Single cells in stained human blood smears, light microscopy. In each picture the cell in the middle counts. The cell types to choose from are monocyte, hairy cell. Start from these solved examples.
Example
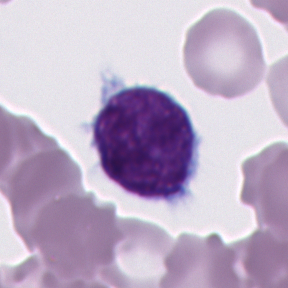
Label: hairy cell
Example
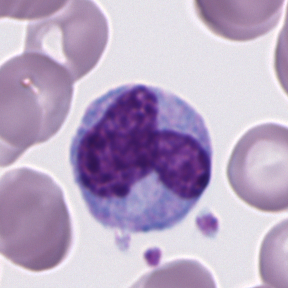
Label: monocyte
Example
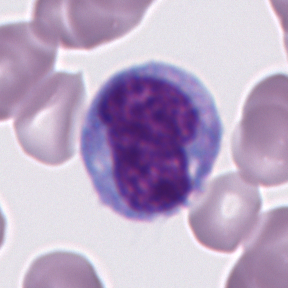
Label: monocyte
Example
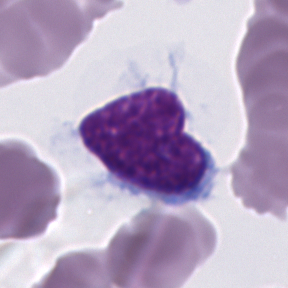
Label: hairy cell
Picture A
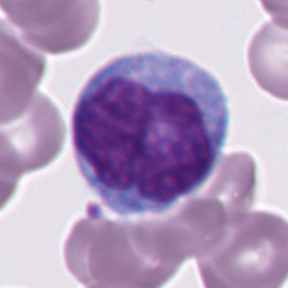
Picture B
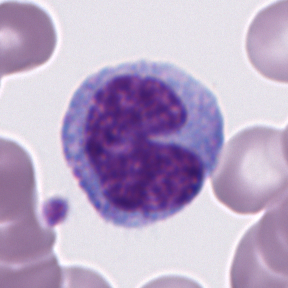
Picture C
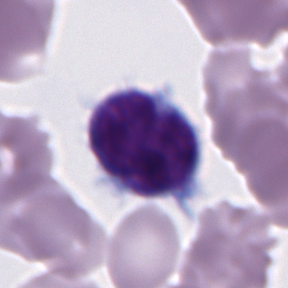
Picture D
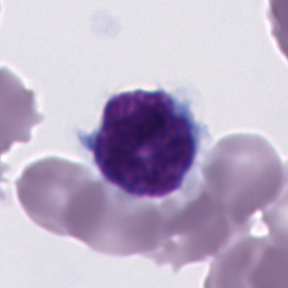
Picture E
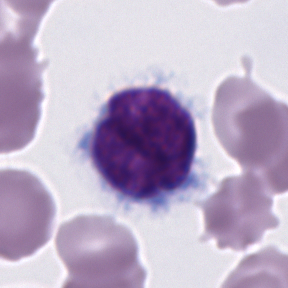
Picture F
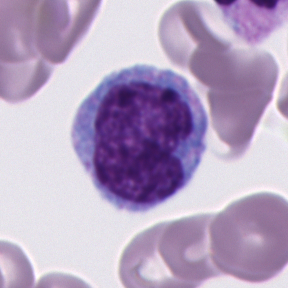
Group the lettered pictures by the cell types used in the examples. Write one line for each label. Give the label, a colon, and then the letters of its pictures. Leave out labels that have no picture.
monocyte: A, B, F
hairy cell: C, D, E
